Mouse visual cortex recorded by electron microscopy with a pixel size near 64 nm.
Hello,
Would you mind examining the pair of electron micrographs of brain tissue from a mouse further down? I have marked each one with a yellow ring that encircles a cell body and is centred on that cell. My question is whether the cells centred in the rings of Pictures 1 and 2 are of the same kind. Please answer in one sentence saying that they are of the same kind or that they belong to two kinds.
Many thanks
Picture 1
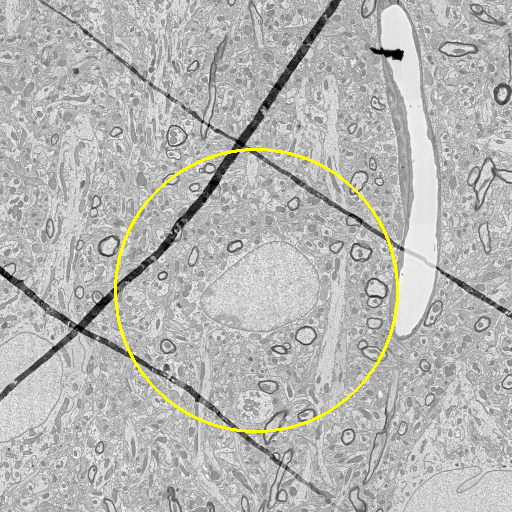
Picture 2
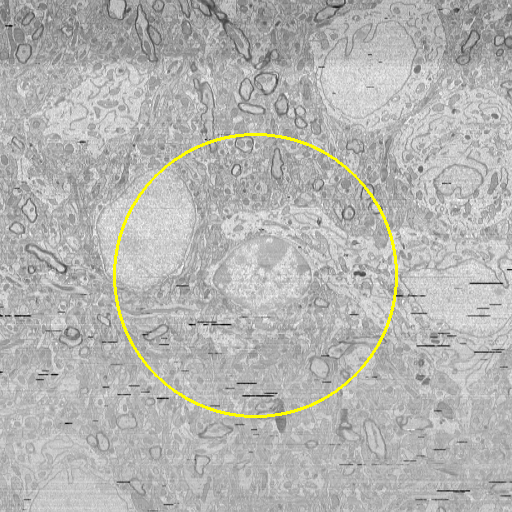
In Pictures 1 and 2, the cells at the heart of the rings belong to two kinds.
